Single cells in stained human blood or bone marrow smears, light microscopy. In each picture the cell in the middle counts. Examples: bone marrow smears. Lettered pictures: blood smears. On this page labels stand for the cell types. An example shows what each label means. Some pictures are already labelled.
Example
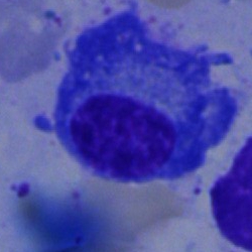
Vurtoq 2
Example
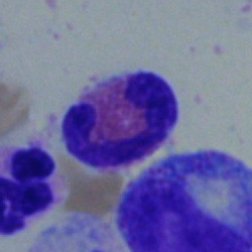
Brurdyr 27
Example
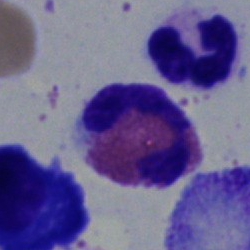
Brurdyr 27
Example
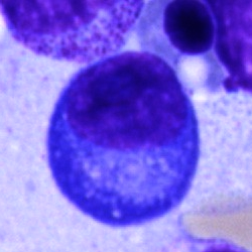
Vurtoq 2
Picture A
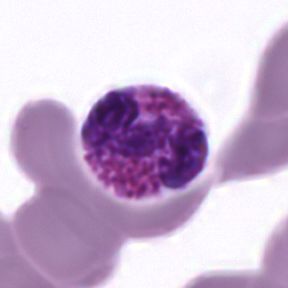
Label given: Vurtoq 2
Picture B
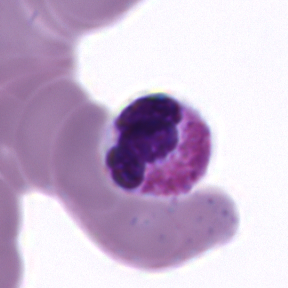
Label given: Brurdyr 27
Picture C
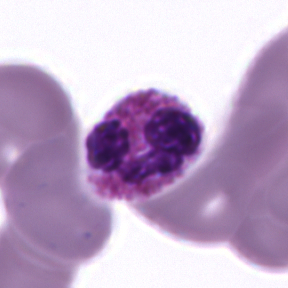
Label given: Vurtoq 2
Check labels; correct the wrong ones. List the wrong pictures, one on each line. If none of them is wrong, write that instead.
Wrong: A (Vurtoq 2); correct: Brurdyr 27
Wrong: C (Vurtoq 2); correct: Brurdyr 27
